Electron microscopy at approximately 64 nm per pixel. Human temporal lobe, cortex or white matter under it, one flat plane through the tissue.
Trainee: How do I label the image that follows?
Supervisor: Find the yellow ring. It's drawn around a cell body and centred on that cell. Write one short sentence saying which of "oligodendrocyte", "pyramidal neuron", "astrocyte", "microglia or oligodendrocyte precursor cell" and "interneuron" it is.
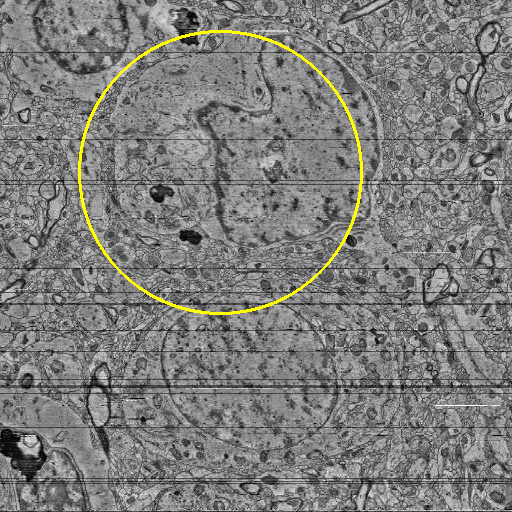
This is the cell body of a microglial cell or oligodendrocyte precursor cell.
